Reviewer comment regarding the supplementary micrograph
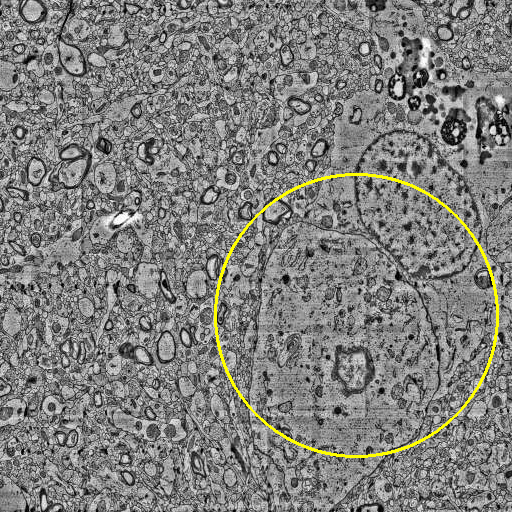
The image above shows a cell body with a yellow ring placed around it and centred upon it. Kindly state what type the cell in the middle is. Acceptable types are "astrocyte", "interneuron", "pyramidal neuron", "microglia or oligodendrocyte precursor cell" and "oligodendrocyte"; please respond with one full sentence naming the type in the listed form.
In the image above, the cell on which the yellow ring is centred is a pyramidal neuron.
